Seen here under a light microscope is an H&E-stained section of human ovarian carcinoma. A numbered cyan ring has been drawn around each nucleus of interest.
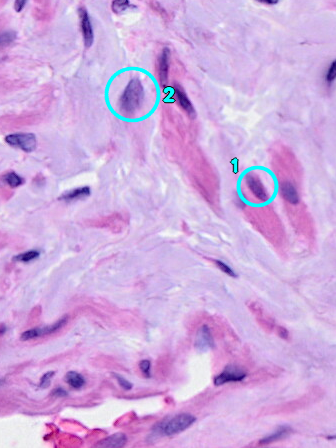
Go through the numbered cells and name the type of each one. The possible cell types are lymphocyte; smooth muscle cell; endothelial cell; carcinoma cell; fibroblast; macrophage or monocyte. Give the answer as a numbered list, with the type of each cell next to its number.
1. smooth muscle cell
2. fibroblast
